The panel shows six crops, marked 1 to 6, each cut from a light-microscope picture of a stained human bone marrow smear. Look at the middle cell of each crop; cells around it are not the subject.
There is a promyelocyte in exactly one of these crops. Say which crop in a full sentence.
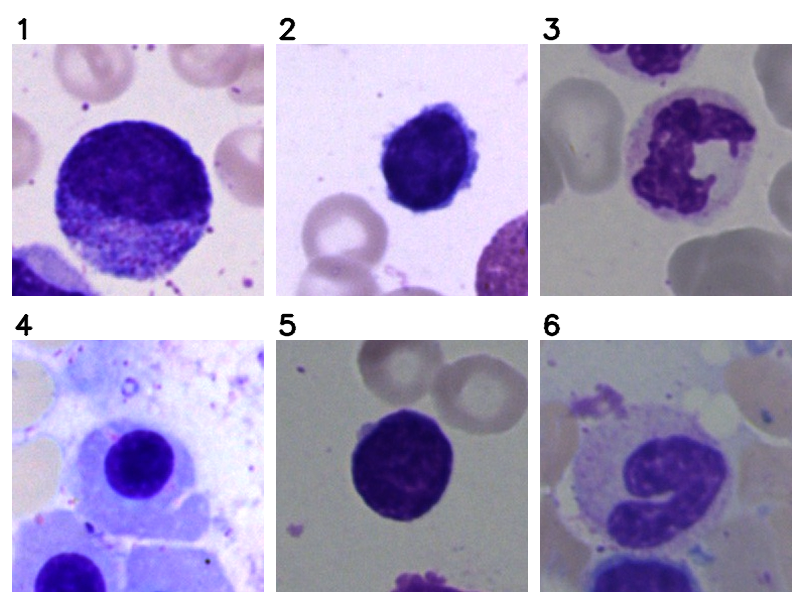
Of the crops given, a promyelocyte is found in crop 1.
